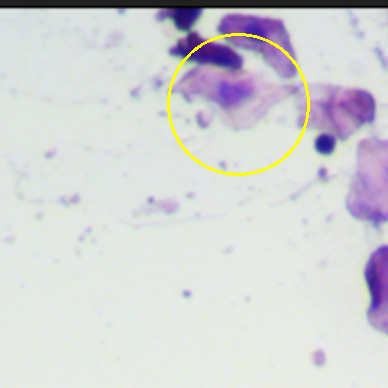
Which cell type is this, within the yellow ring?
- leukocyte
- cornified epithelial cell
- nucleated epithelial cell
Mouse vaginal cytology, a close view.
Within the ring is a nucleated epithelial cell.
